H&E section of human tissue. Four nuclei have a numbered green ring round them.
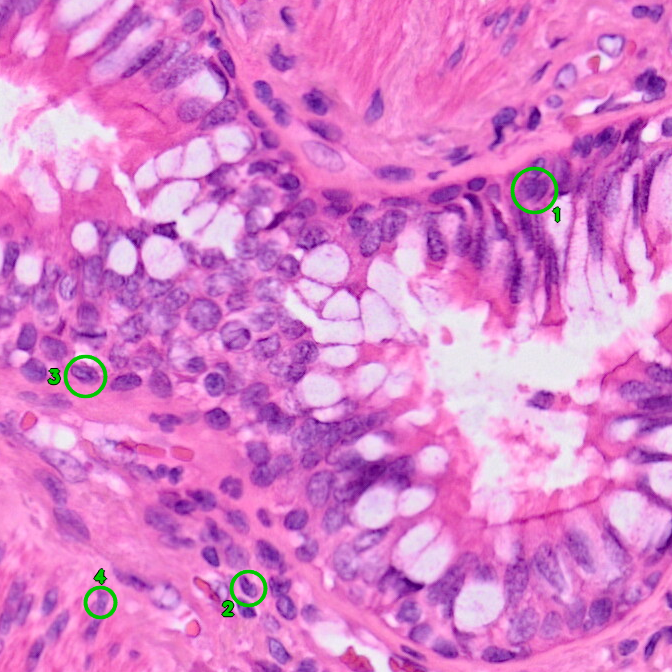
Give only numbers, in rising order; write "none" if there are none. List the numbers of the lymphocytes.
2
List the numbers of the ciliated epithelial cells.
1, 3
